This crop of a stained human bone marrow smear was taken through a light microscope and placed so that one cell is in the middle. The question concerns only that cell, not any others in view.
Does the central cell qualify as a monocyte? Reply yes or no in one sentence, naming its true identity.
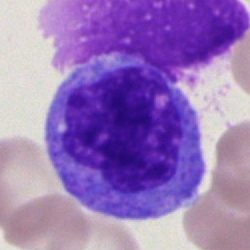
Yes, as for the central cell, it is a monocyte.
